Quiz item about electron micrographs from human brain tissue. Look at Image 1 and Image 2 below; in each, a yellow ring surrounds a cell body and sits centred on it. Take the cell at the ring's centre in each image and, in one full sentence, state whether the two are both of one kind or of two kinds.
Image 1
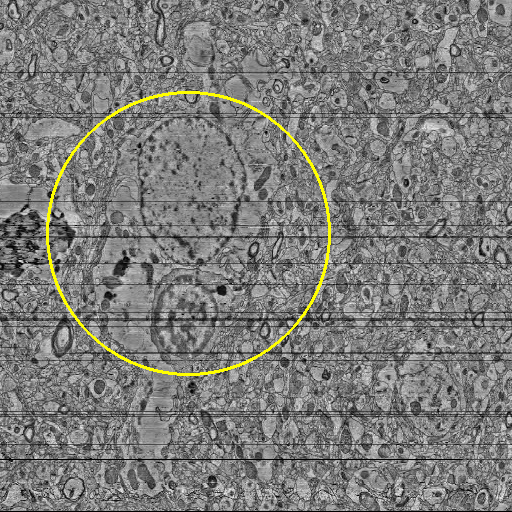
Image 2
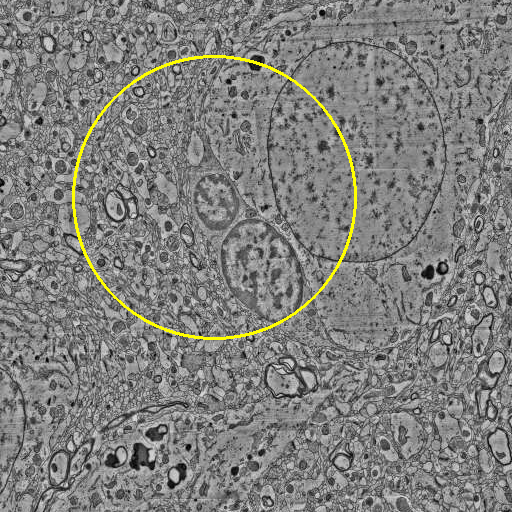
In Image 1 and Image 2, the cells at the ring centres are of two kinds.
